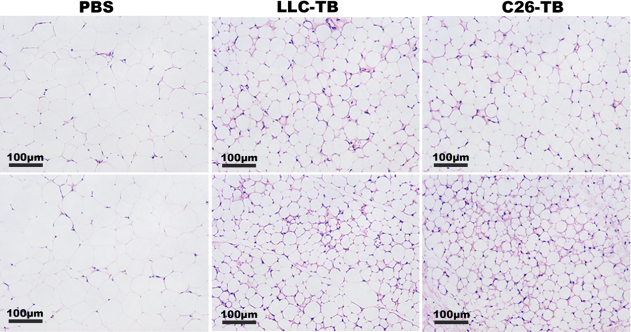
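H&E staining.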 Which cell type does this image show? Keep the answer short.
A: Adipocytes.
